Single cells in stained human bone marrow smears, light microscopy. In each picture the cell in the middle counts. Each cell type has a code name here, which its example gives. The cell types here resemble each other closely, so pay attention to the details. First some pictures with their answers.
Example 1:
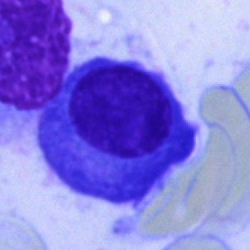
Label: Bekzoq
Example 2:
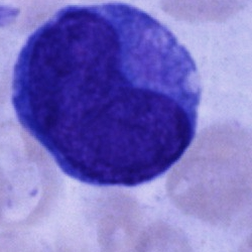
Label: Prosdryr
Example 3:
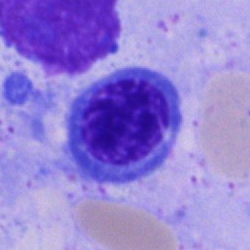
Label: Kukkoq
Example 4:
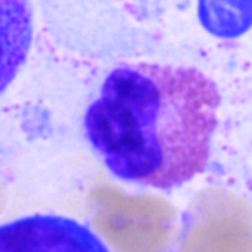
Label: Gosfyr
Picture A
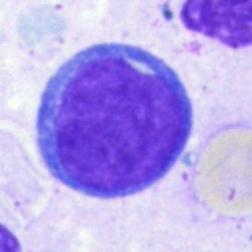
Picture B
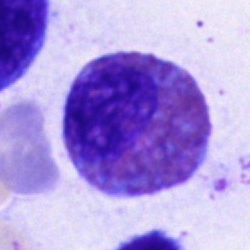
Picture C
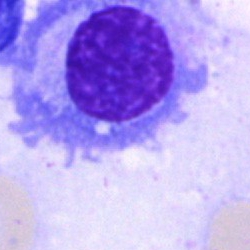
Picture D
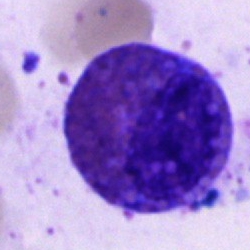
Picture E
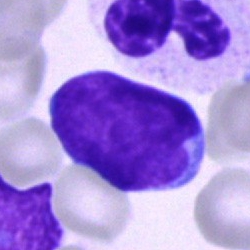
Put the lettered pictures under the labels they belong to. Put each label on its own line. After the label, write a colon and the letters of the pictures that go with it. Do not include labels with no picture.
Bekzoq: C
Prosdryr: A, E
Gosfyr: B, D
